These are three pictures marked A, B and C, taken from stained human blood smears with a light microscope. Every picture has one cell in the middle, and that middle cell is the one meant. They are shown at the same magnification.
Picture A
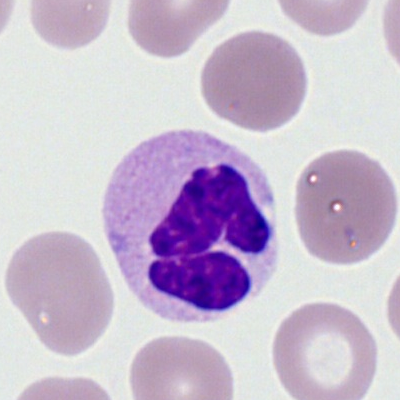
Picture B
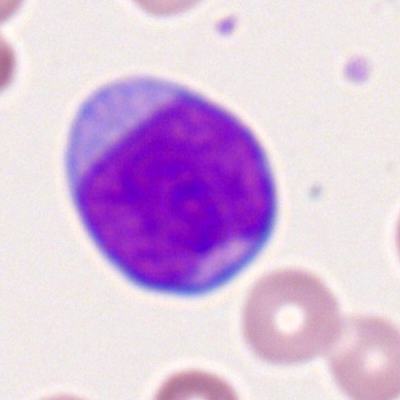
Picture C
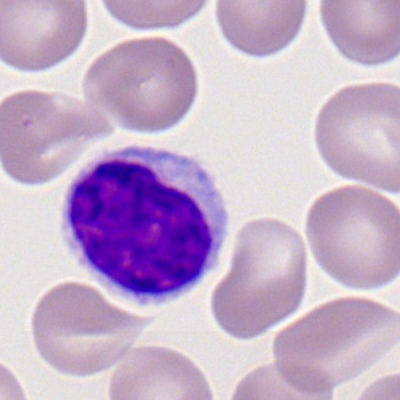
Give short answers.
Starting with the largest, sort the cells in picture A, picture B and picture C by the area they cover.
B, A, C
